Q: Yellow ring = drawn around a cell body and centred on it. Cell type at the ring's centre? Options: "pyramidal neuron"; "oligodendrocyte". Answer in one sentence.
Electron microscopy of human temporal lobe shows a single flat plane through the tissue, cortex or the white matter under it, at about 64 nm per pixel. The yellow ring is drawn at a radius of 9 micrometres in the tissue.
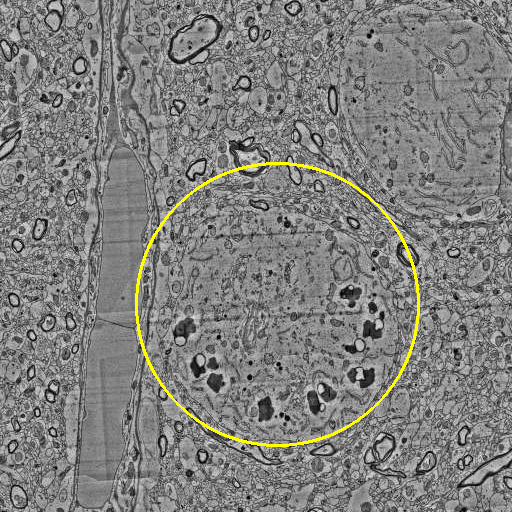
Centred in the ring is a pyramidal neuron.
